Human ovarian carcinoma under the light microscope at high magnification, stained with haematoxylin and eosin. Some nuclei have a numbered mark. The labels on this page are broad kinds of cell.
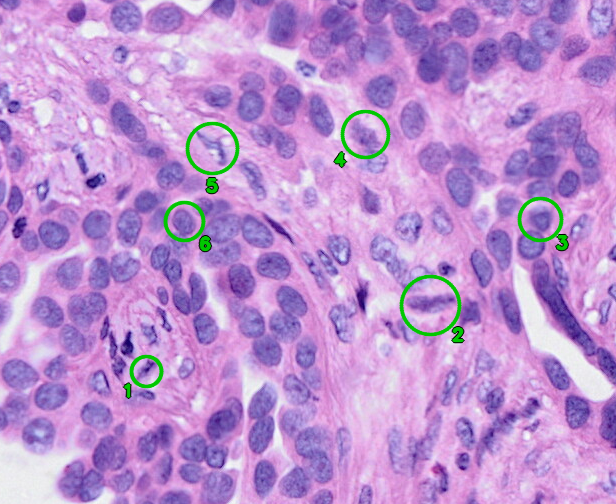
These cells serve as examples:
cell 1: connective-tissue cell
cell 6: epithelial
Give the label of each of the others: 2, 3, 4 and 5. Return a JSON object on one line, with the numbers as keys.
{"2": "connective-tissue cell", "3": "epithelial", "4": "connective-tissue cell", "5": "connective-tissue cell"}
